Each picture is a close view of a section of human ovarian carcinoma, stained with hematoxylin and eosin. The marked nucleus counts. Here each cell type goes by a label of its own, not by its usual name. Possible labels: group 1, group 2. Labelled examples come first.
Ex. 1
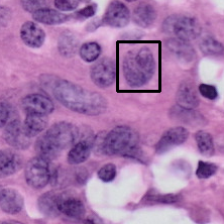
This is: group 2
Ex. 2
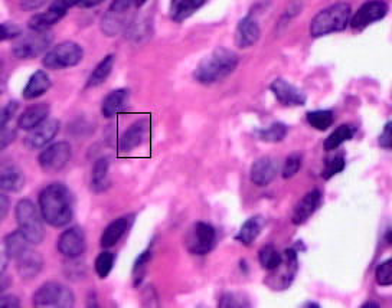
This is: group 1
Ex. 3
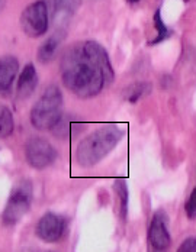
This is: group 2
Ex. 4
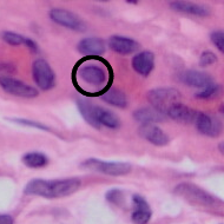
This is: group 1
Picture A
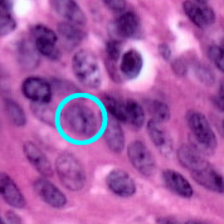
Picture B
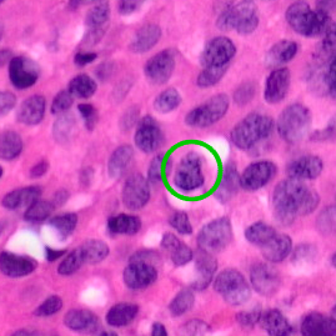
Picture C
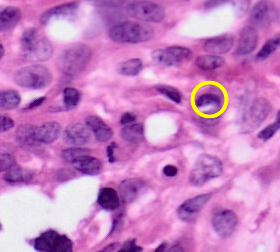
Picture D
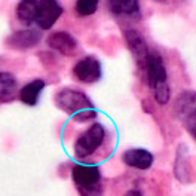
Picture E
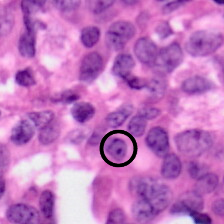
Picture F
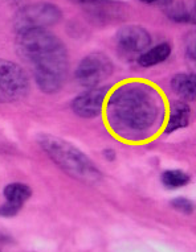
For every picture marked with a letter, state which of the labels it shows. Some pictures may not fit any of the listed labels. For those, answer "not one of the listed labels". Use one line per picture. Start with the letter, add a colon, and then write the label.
A: group 2
B: not one of the listed labels
C: group 1
D: group 2
E: not one of the listed labels
F: group 2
